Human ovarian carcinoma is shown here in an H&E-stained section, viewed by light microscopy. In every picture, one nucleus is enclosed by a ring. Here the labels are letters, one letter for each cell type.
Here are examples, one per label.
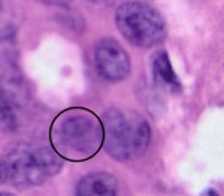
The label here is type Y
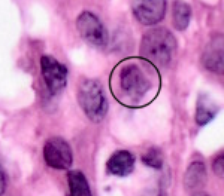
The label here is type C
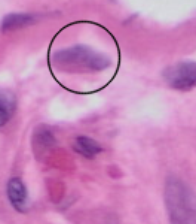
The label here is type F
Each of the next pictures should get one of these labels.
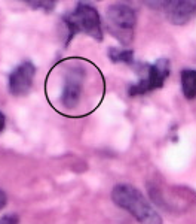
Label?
type C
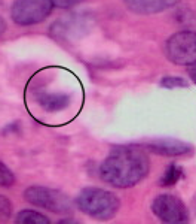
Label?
type C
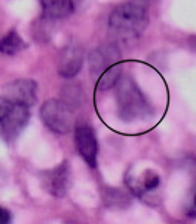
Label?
type Y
